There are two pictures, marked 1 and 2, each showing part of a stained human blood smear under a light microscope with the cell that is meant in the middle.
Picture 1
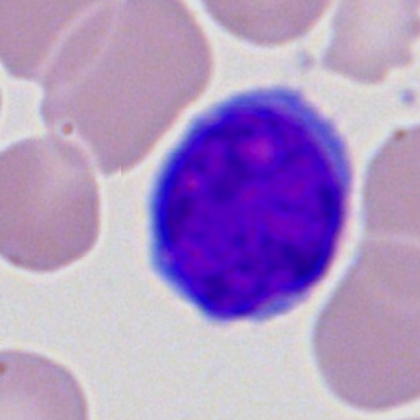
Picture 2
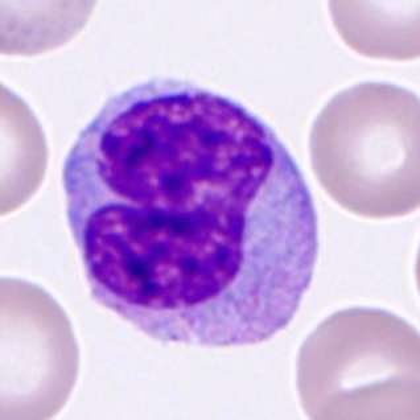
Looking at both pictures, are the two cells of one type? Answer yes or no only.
no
